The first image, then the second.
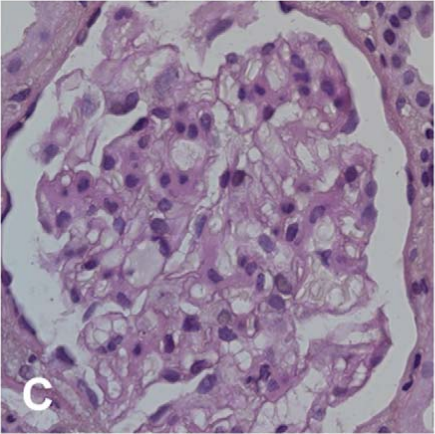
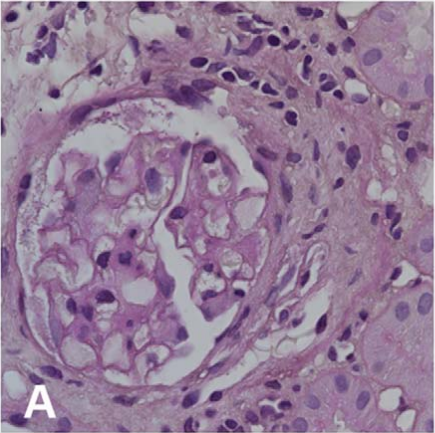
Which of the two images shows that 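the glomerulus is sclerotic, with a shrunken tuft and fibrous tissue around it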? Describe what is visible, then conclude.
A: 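First image: a large lobulated tuft with many open capillary loops fills Bowman's space.
Hence: the second image.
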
